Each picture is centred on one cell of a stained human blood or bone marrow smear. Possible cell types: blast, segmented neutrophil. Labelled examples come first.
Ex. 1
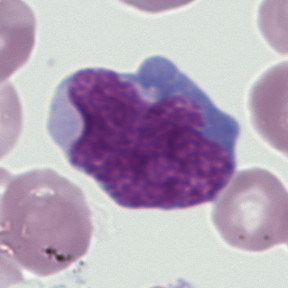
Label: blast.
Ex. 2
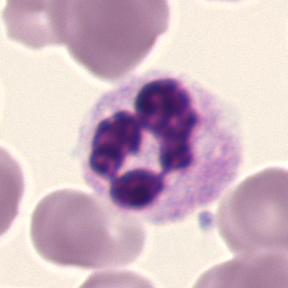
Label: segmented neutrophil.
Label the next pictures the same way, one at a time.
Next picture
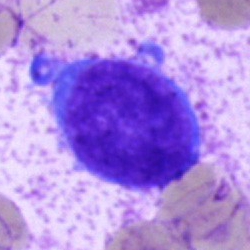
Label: blast.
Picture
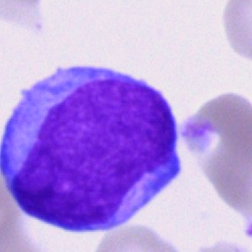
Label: blast.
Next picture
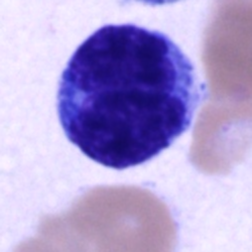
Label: blast.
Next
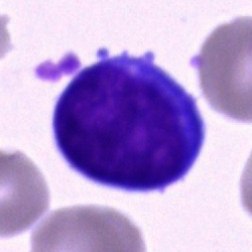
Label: blast.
